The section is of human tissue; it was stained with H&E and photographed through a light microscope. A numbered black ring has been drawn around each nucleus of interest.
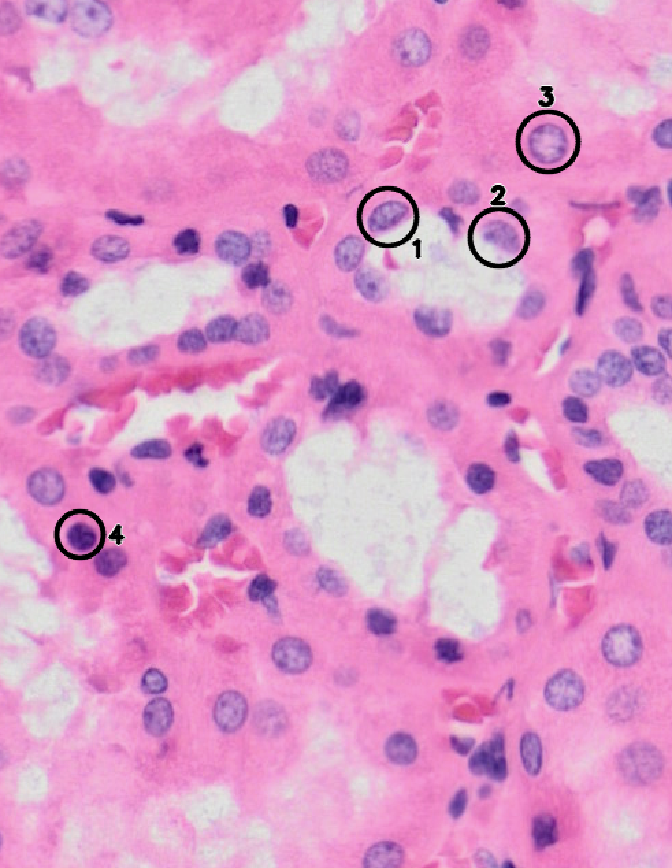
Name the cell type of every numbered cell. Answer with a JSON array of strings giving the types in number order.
["loop of Henle or distal tubule cell", "loop of Henle or distal tubule cell", "proximal tubule cell", "proximal tubule cell"]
